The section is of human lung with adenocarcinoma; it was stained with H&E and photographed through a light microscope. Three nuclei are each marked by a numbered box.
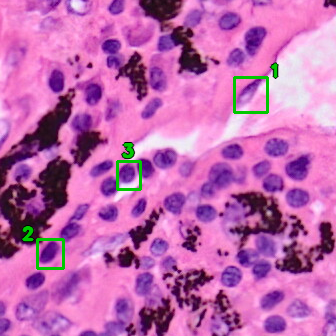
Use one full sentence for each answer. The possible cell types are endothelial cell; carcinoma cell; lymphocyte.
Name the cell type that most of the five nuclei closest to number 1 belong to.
Most of the five nuclei nearest to number 1 are those of lymphocytes.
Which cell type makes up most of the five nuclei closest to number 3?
Most of the five nuclei nearest to number 3 are those of lymphocytes.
